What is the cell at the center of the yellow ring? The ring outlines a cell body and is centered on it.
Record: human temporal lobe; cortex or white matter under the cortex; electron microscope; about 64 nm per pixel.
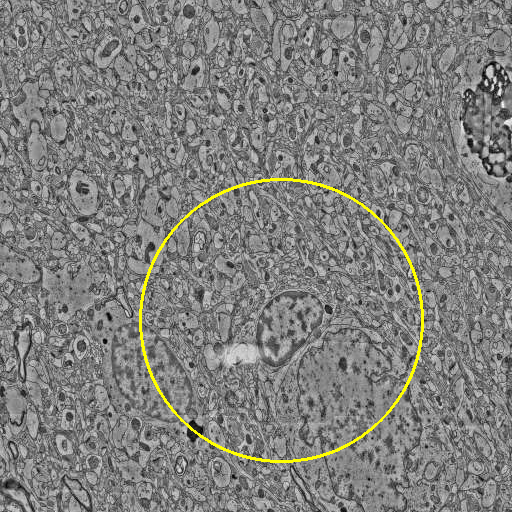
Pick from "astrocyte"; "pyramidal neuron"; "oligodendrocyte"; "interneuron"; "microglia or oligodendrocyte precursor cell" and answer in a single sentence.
The yellow ring is centered on a microglial cell or oligodendrocyte precursor cell.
